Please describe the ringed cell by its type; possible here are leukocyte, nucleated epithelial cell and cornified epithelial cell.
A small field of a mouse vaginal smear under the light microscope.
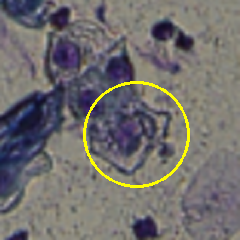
The yellow ring marks a nucleated epithelial cell.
